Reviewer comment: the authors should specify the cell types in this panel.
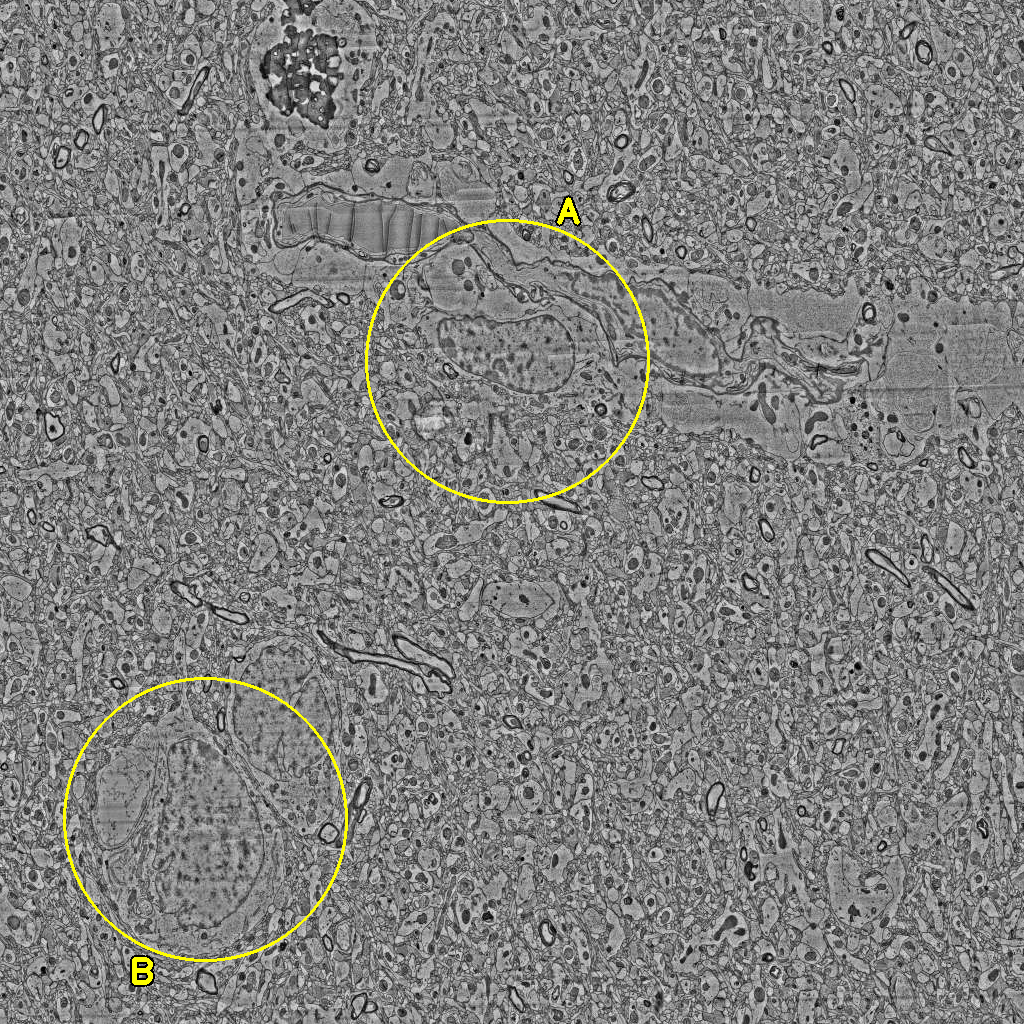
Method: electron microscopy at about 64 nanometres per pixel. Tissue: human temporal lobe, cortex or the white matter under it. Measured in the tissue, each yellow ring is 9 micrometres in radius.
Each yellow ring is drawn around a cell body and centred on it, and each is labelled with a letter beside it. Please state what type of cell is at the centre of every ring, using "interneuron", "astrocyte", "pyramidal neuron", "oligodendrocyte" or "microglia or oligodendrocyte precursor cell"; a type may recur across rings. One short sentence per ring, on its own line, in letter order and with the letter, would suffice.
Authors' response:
The cell centred within ring A is a microglial cell or oligodendrocyte precursor cell.
The cell centred within ring B is an interneuron.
